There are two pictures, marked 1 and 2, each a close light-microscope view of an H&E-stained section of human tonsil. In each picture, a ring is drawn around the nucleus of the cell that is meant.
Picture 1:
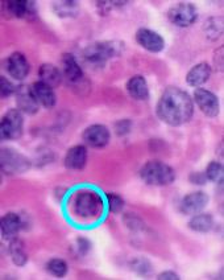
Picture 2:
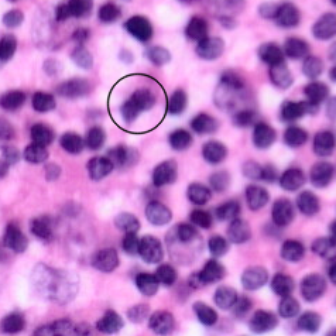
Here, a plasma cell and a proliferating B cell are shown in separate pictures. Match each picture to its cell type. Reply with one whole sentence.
In picture 1 the cell is a plasma cell; in picture 2, a proliferating B cell.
